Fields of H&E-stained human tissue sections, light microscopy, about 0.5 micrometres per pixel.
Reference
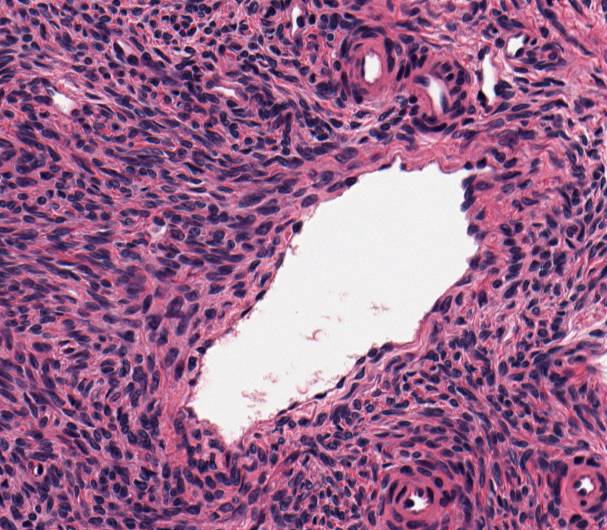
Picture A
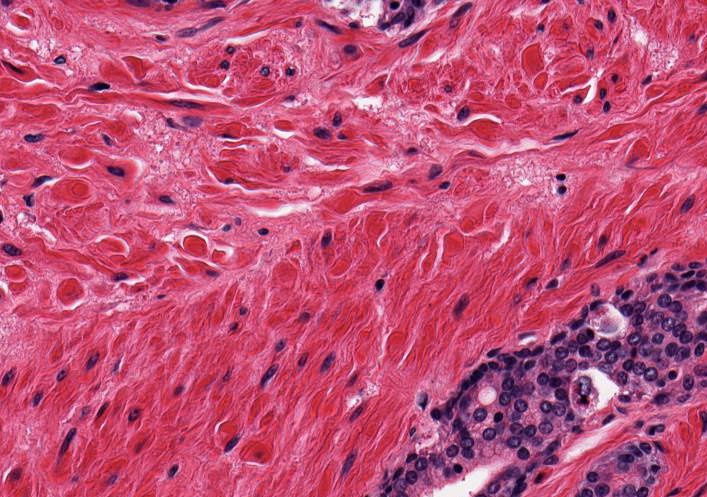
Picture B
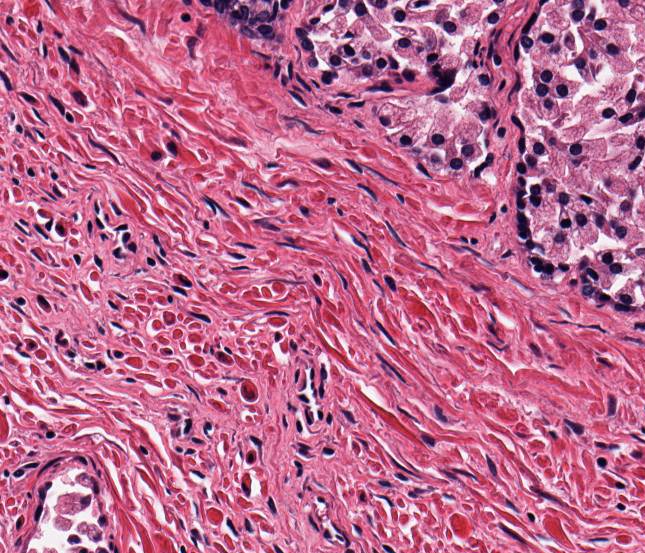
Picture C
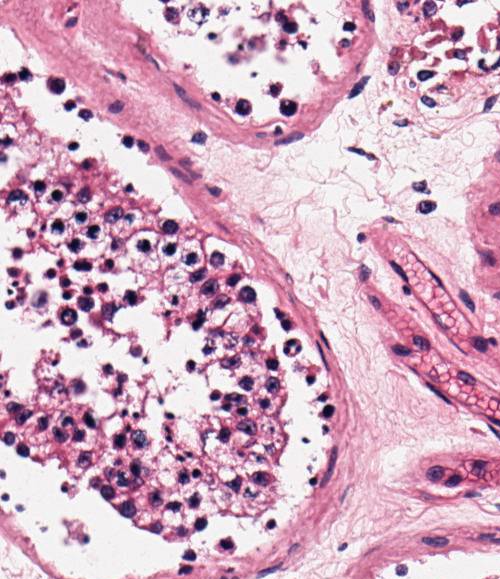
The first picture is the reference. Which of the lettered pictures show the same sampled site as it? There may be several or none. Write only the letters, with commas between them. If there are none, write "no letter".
no letter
